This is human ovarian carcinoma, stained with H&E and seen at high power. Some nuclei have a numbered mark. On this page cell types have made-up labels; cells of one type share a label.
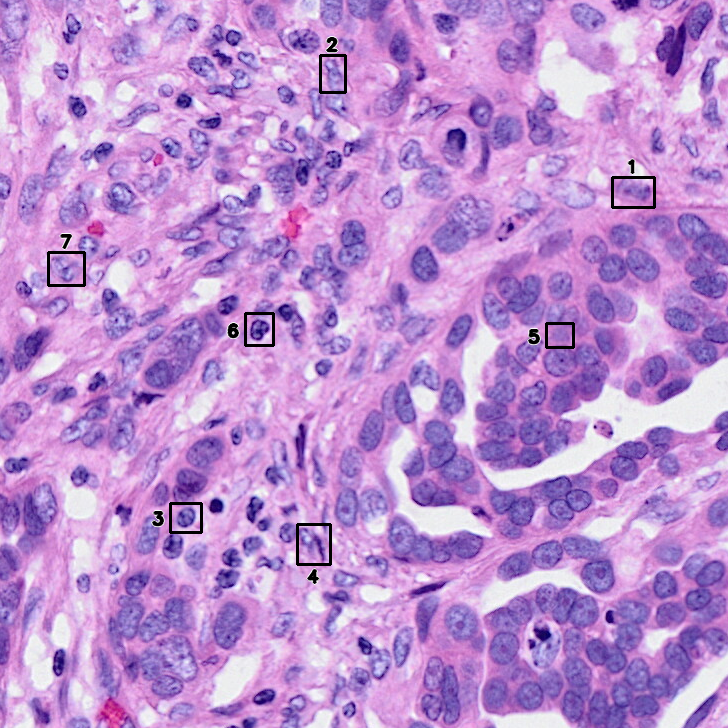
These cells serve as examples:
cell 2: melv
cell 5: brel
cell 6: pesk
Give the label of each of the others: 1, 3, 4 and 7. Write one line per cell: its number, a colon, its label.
1: melv
3: pesk
4: melv
7: melv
